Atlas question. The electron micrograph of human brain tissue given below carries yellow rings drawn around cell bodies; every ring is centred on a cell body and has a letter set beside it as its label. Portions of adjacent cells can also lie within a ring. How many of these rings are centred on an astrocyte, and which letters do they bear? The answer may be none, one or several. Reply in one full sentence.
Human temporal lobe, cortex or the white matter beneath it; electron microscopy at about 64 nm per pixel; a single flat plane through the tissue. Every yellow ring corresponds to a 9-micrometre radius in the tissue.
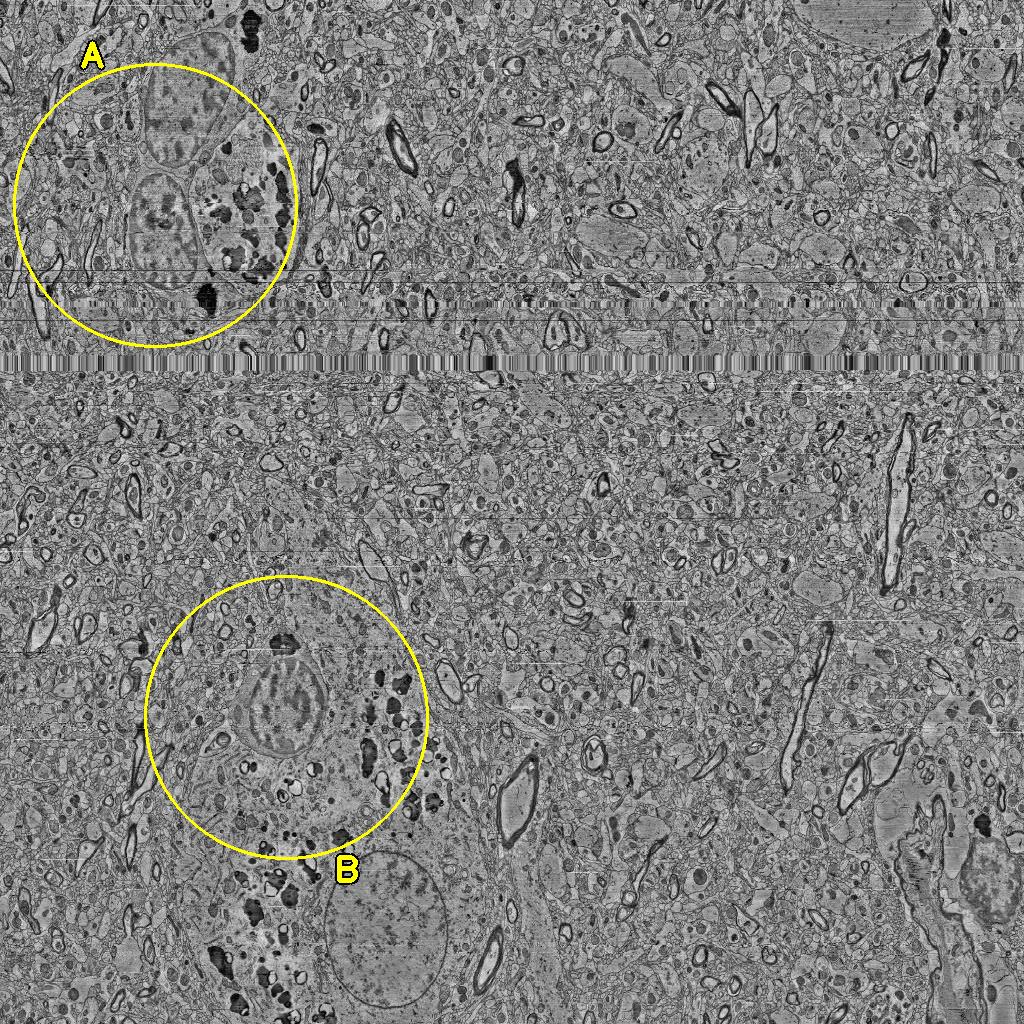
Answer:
Nowhere in the micrograph is a ring centred on an astrocyte, and the count is zero.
